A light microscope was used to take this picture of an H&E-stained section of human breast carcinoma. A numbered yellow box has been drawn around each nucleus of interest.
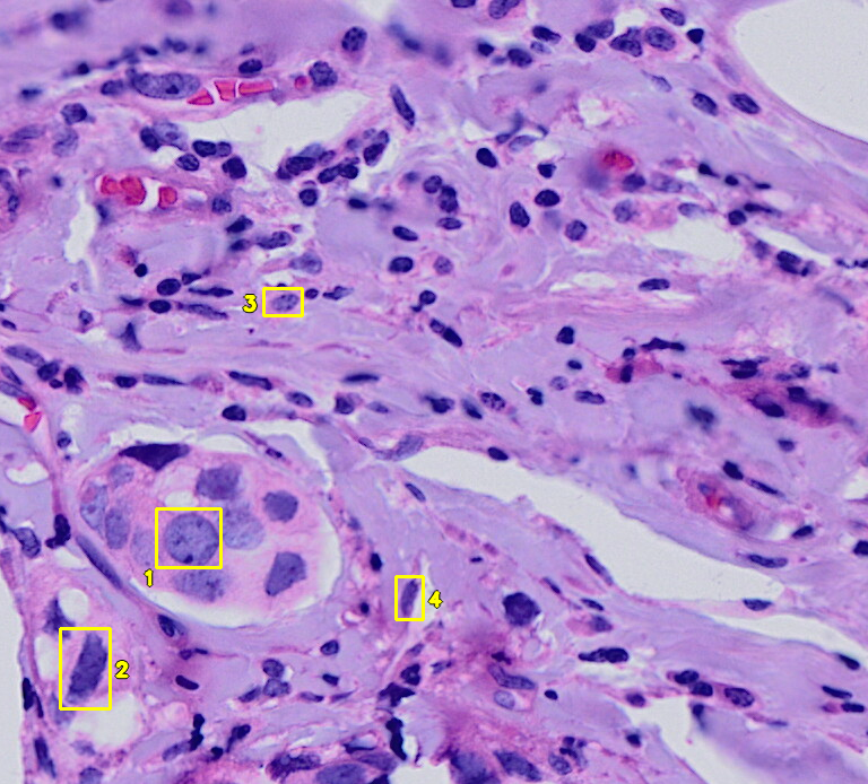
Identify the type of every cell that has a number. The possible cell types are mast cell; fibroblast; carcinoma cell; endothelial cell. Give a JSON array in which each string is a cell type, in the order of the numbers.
["carcinoma cell", "carcinoma cell", "mast cell", "fibroblast"]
